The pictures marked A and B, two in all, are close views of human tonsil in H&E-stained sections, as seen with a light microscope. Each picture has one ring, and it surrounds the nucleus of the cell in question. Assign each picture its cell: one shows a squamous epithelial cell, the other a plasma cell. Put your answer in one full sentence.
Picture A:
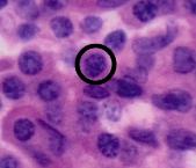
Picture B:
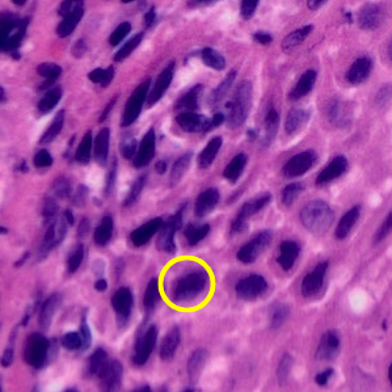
In picture A the cell is a plasma cell; in picture B, a squamous epithelial cell.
